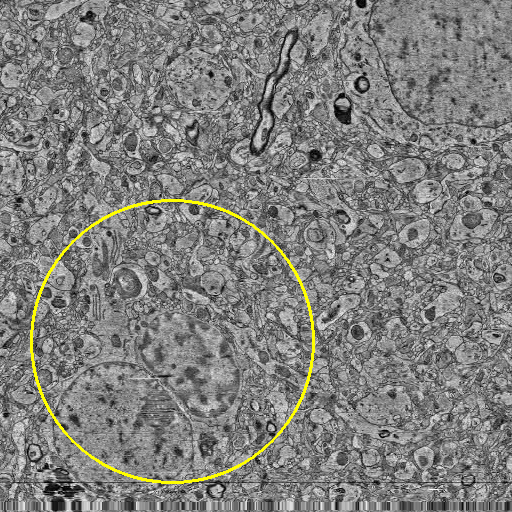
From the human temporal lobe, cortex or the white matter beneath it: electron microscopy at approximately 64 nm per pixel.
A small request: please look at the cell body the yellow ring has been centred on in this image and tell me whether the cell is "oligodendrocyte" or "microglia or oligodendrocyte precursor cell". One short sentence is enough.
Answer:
The cell marked by the ring is an oligodendrocyte.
